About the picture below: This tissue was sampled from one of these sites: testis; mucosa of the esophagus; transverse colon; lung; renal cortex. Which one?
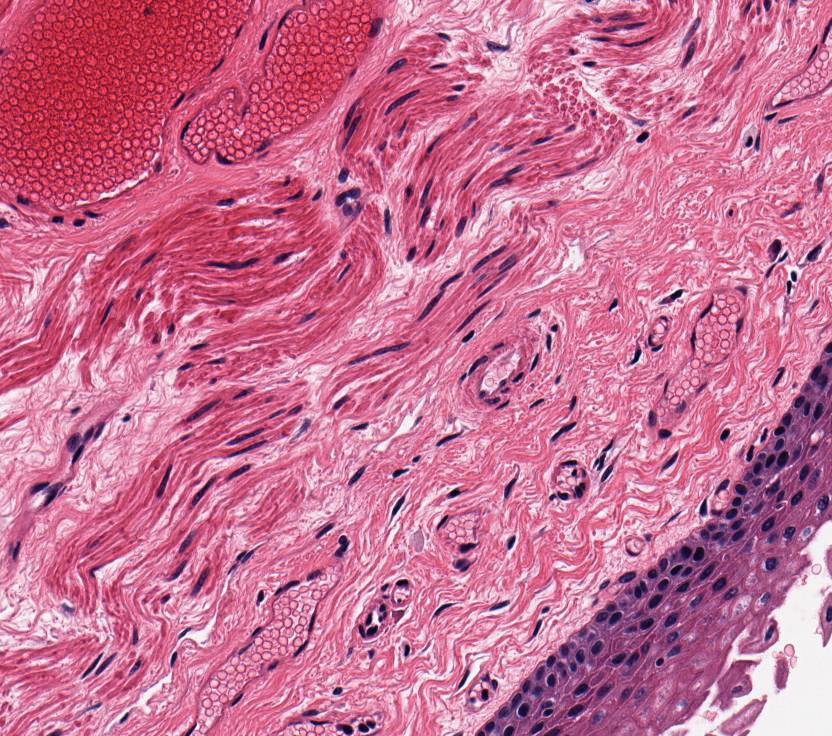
mucosa of the esophagus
